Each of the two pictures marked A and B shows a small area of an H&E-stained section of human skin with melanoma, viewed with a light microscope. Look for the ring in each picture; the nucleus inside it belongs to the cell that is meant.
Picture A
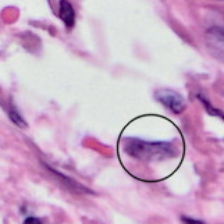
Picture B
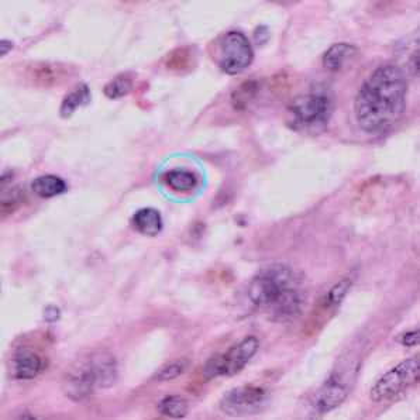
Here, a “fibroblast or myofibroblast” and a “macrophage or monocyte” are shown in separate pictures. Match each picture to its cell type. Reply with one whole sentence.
In picture A the cell is a “fibroblast or myofibroblast”; in picture B, a “macrophage or monocyte”.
